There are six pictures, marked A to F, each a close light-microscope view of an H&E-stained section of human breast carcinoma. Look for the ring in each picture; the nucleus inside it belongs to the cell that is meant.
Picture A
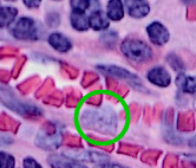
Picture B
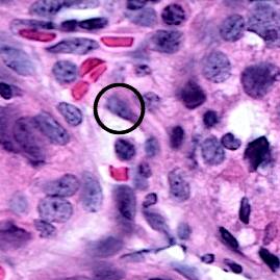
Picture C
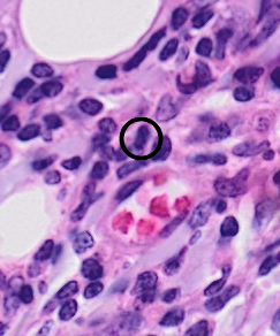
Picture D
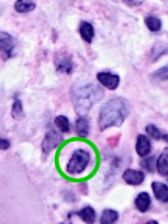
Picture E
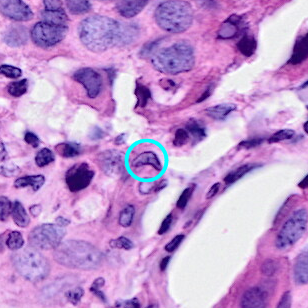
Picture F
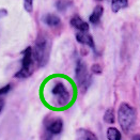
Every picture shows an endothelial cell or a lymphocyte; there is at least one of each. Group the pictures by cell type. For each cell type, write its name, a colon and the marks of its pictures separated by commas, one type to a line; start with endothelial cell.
endothelial cell: A, B, E
lymphocyte: C, D, F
